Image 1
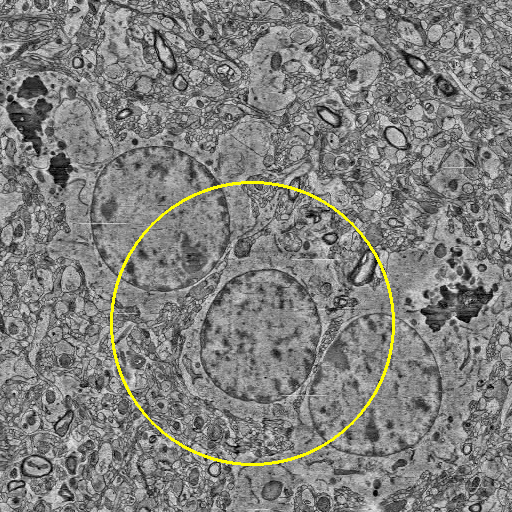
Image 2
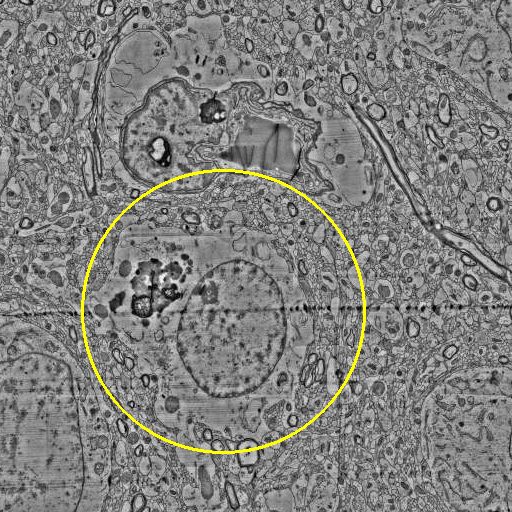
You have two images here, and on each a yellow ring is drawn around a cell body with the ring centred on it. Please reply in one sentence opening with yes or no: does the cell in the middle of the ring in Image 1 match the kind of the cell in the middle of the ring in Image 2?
Yes, the two images show cells of one kind at the centres of their rings.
